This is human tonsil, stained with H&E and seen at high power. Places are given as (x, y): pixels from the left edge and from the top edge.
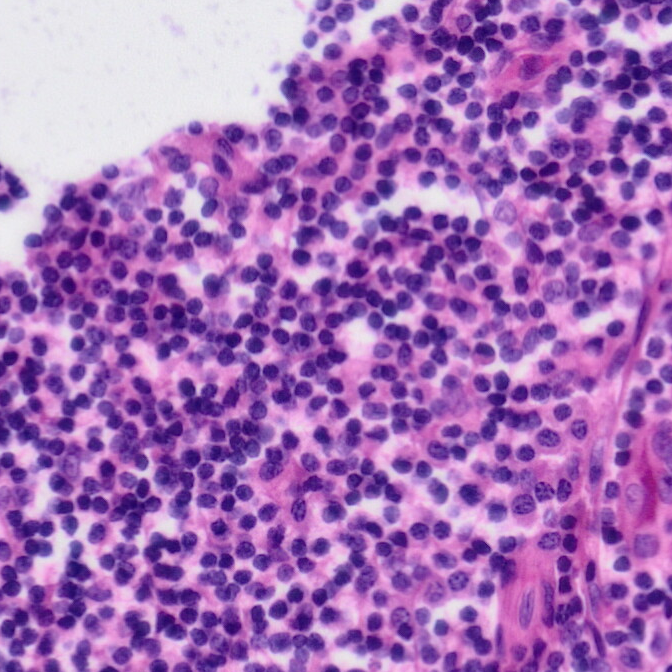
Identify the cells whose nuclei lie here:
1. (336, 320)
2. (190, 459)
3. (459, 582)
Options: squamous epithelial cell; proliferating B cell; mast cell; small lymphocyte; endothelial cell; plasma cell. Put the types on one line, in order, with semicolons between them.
small lymphocyte; small lymphocyte; plasma cell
